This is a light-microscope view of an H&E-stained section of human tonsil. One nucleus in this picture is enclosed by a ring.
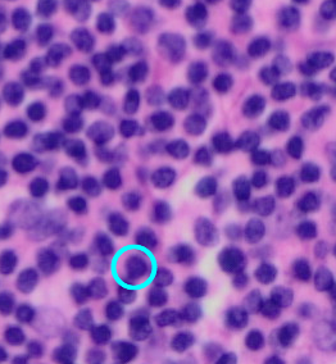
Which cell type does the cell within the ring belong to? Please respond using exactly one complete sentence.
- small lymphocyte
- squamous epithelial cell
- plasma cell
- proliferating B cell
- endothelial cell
In short, the cell within the ring on this section is a small lymphocyte.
